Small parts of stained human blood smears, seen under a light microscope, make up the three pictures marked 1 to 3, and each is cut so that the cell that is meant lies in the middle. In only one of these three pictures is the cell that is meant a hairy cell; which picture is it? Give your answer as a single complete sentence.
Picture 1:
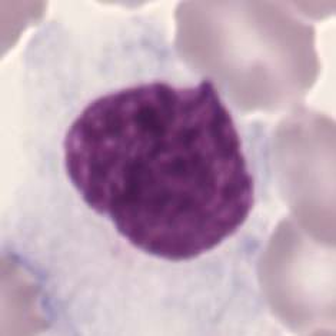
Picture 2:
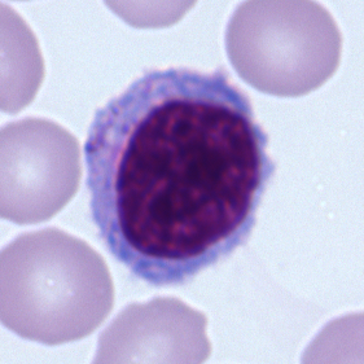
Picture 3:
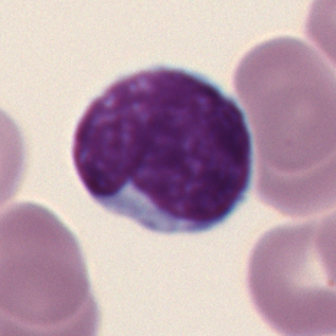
It is picture 1 that shows the hairy cell.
